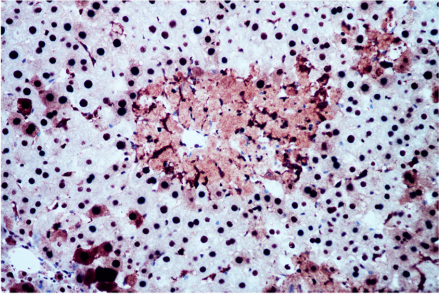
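Liver parenchyma with hepatocytes showing many large round nuclei stained dark brown. The hepatocytes are large and polygonal with pale, partly vacuolated cytoplasm, arranged in plates. At the centre a small vessel lumen is surrounded by a pink-red zone of disorganized tissue in which regular round nuclei are lacking, consistent with hepatocellular necrosis. Stained hepatocyte nuclei lie around the edge of this zone and throughout the surrounding tissue. A few cells with darkly stained cytoplasm appear near the lower left.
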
